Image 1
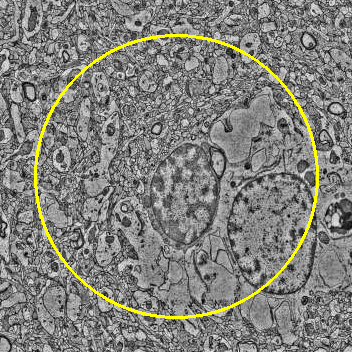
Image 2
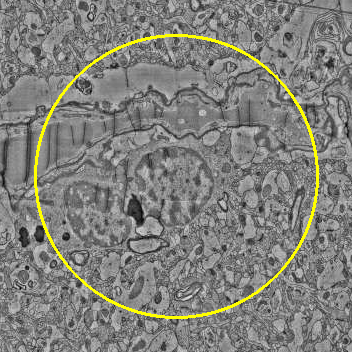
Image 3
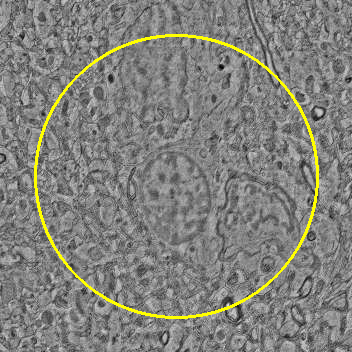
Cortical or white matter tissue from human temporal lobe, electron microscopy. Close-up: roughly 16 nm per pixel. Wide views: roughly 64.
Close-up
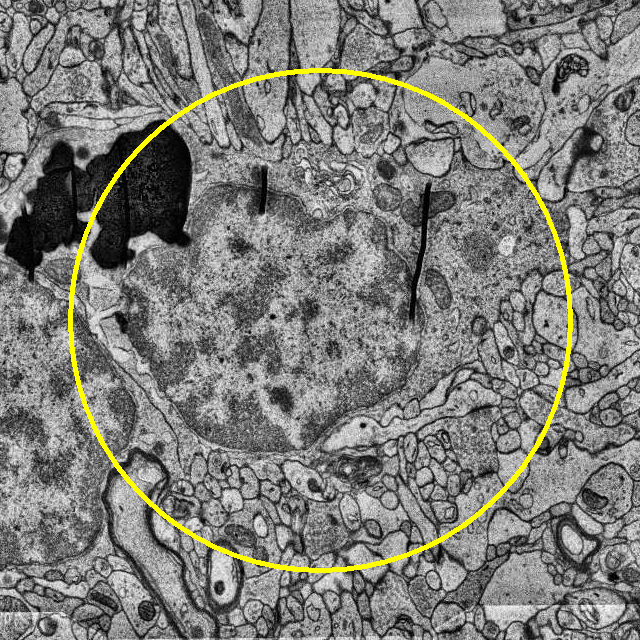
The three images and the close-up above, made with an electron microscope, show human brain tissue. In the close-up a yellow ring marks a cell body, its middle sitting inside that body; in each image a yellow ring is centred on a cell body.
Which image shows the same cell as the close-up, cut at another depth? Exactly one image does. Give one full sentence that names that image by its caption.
The cell under magnification is the ringed one in Image 2.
